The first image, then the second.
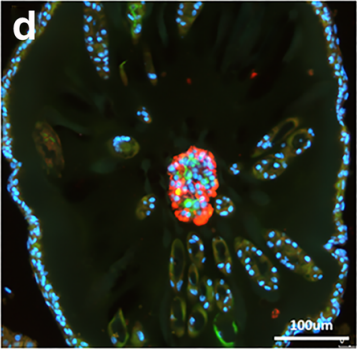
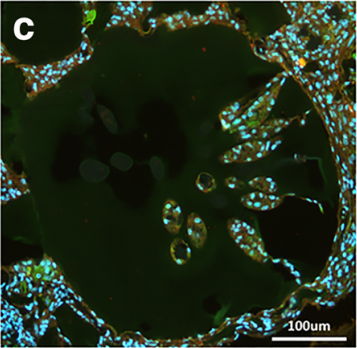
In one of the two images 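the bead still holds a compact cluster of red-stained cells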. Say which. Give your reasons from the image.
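First image: a dense round cluster of red-stained cells with blue nuclei sits at the centre of the bead. Second image: the bead interior is dark with no red-stained cluster. That points to this answer: the first image.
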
